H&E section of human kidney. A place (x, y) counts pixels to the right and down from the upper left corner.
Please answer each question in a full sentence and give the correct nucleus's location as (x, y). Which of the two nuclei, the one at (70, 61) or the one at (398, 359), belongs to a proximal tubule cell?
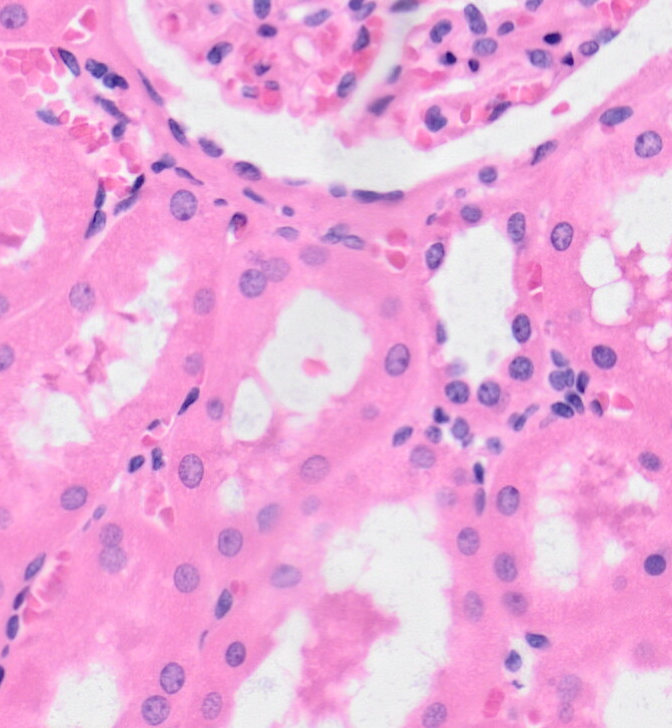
The nucleus that belongs to a proximal tubule cell is located at (398, 359).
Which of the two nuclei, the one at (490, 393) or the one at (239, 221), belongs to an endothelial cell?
The nucleus at (239, 221) is part of an endothelial cell, while the other is not.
